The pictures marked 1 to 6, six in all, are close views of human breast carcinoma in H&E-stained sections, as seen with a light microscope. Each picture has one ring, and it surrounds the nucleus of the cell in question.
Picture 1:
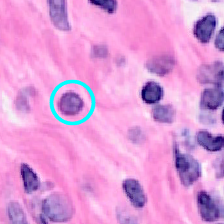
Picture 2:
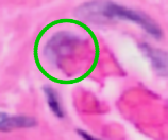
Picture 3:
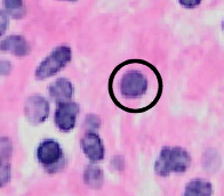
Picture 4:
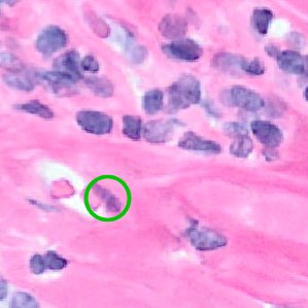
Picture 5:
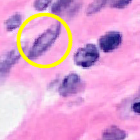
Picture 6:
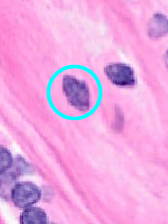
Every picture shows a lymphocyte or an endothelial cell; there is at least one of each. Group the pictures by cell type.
1: lymphocyte
2: endothelial cell
3: lymphocyte
4: endothelial cell
5: endothelial cell
6: lymphocyte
